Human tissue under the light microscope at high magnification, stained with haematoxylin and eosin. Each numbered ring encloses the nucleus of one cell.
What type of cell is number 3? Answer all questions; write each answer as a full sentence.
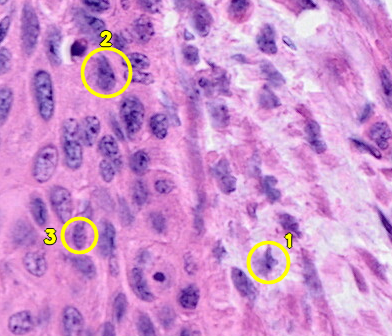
The nucleus labelled 3 belongs to a squamous carcinoma cell.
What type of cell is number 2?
The cell assigned the number 2 is a squamous carcinoma cell.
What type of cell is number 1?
Corresponding to a fibroblast is the cell labelled 1.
